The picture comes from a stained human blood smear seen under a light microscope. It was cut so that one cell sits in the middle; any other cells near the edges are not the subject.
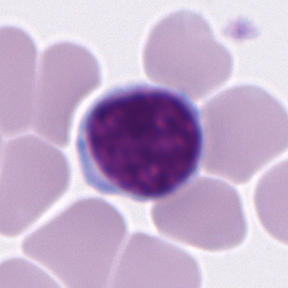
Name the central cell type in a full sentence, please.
The middle cell in this particular crop is a typical lymphocyte.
